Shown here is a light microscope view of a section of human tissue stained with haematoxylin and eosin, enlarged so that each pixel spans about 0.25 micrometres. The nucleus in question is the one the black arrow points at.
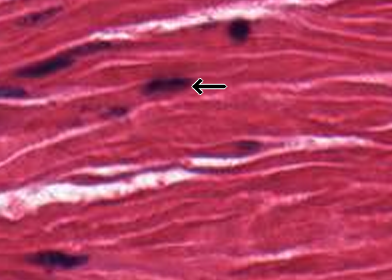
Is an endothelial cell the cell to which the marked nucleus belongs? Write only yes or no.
no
